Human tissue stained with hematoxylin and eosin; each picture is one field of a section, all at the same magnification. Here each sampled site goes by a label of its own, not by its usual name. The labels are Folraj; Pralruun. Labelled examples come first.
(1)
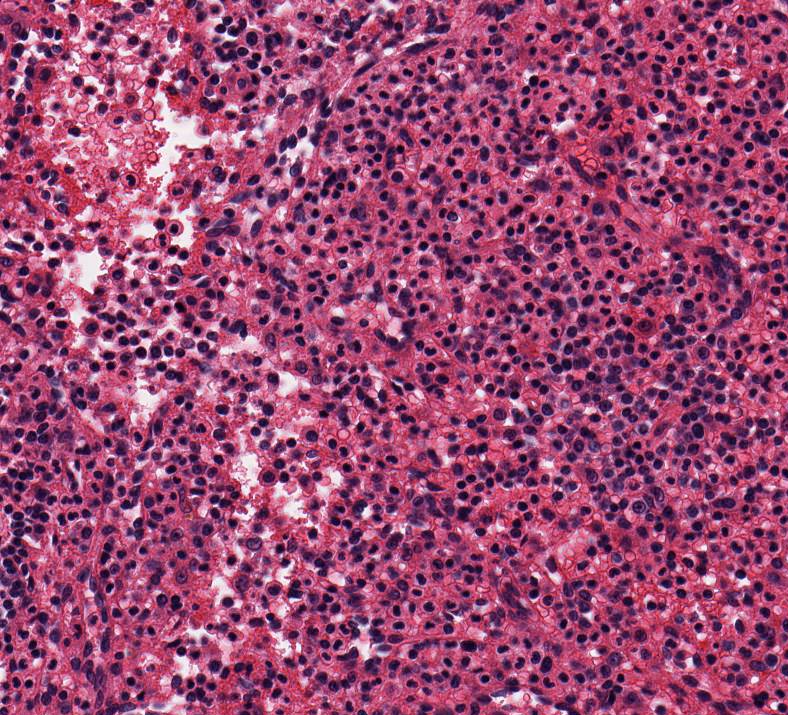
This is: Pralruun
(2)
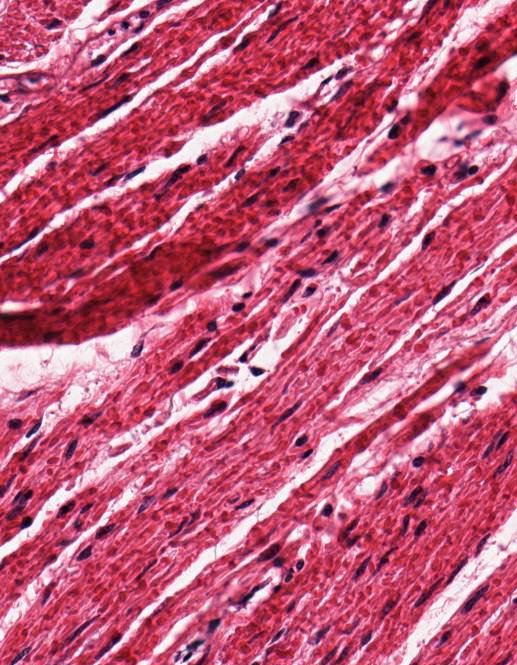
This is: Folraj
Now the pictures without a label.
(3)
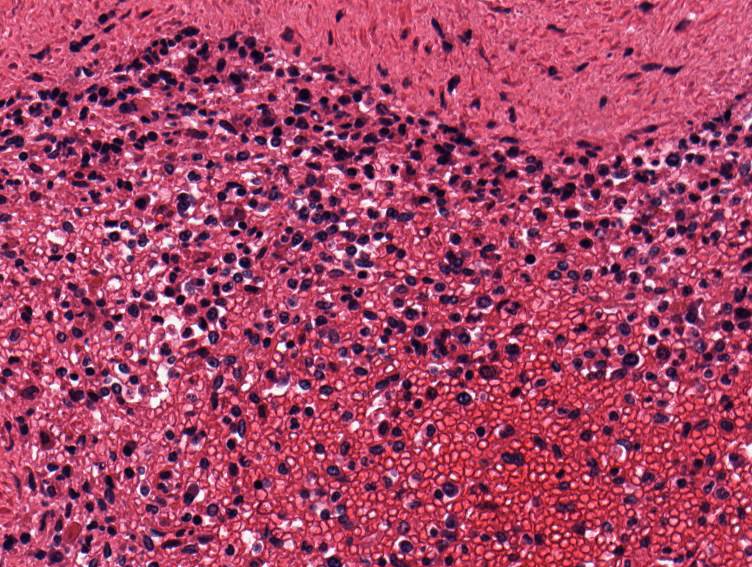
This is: Pralruun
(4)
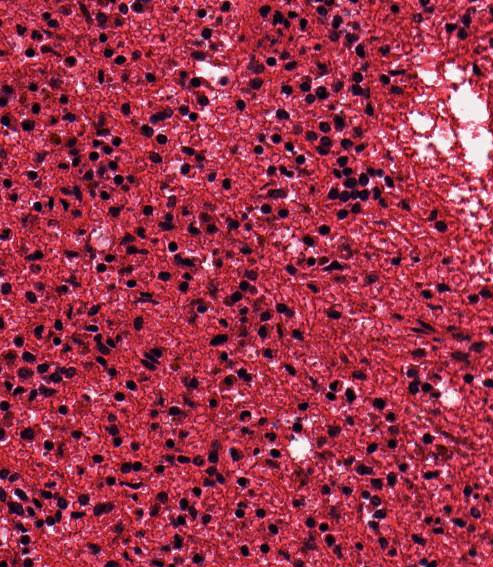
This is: Pralruun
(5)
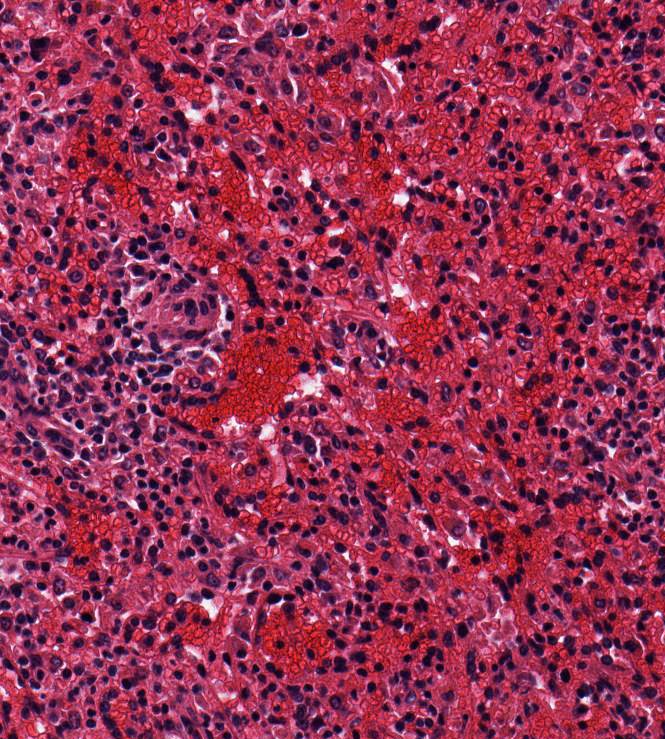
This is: Pralruun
